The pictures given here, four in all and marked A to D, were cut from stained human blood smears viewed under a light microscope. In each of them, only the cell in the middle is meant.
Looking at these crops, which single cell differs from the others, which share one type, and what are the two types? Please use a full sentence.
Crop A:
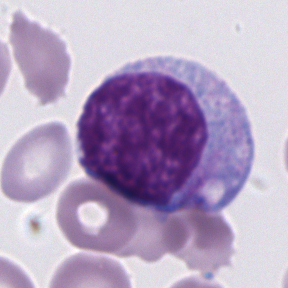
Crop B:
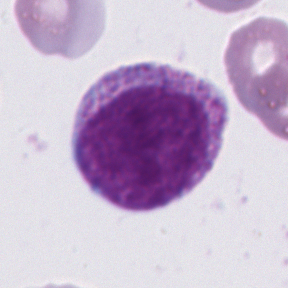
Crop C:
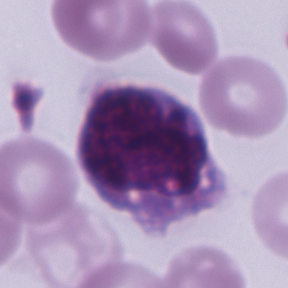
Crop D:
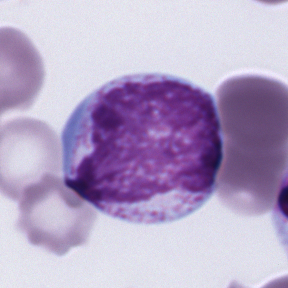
Crop C is the odd one out, being a monocyte, while all the other crops show myelocytes.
